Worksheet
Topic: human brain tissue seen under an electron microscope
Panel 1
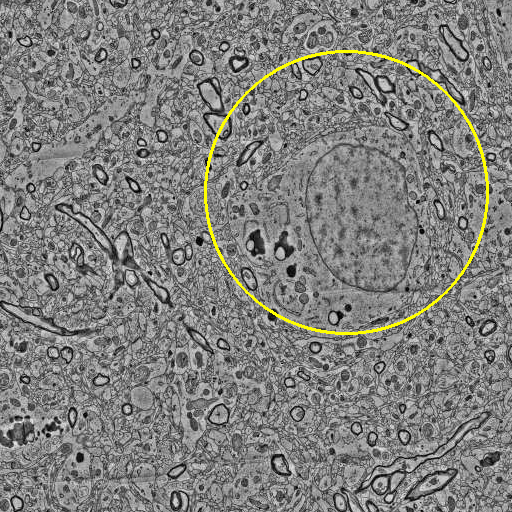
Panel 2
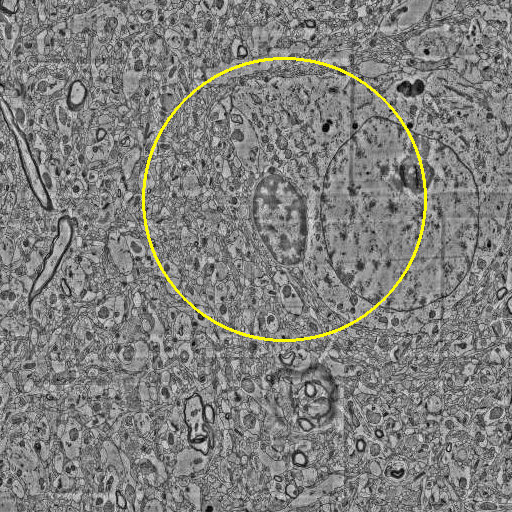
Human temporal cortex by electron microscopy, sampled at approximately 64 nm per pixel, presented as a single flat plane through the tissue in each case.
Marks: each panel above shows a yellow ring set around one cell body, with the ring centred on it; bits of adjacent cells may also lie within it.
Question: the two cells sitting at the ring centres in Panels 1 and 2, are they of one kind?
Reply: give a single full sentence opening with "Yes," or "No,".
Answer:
No, the two ring-centre cells in Panel 1 and Panel 2 are of two kinds.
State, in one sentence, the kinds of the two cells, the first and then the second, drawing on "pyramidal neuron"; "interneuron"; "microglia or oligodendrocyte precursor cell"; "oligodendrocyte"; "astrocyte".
The ring in the second picture is centred on an oligodendrocyte, the ring in the first on a pyramidal neuron.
